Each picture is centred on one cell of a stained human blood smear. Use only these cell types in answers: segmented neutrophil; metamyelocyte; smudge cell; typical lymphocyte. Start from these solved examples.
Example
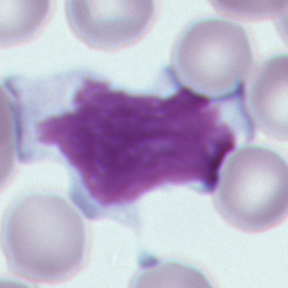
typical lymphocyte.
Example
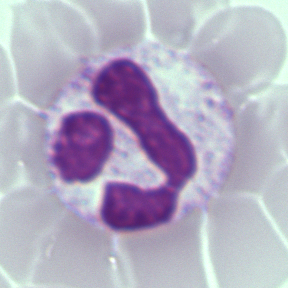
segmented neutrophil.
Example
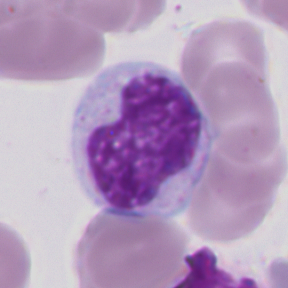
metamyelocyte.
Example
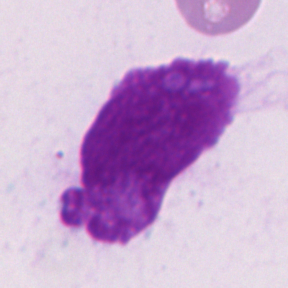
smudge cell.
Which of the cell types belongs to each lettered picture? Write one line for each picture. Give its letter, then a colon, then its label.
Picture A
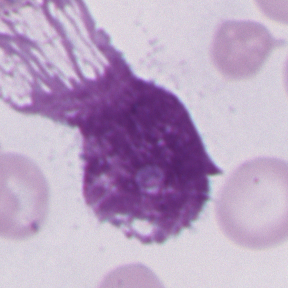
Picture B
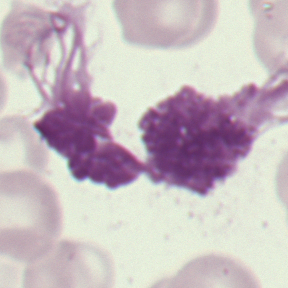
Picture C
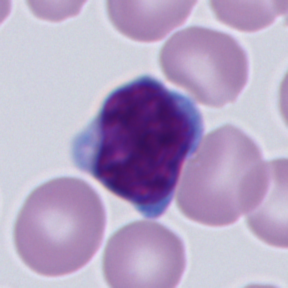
A: smudge cell.
B: smudge cell.
C: typical lymphocyte.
